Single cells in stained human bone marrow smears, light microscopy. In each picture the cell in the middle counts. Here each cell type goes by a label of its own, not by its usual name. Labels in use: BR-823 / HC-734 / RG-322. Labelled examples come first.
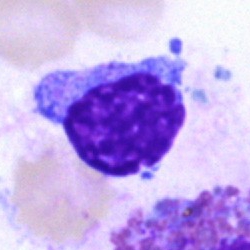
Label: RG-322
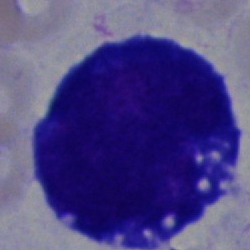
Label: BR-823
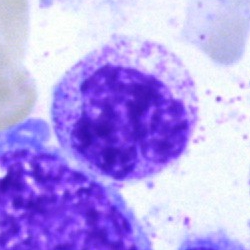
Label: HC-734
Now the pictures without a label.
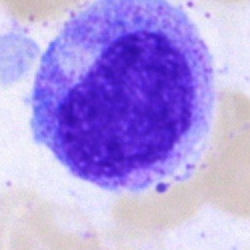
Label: HC-734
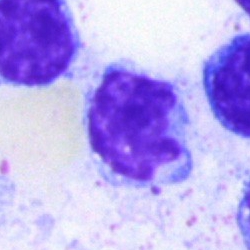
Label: RG-322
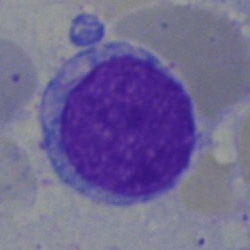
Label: BR-823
